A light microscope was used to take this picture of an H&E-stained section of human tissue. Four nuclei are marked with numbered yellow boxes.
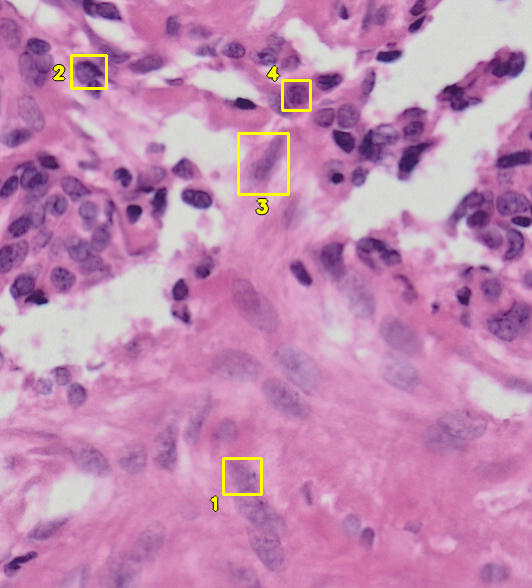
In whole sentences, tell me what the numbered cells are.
Cell 1 is a fibroblast, cell 2 is a macrophage or monocyte, cell 3 is a fibroblast and cell 4 is a carcinoma cell.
